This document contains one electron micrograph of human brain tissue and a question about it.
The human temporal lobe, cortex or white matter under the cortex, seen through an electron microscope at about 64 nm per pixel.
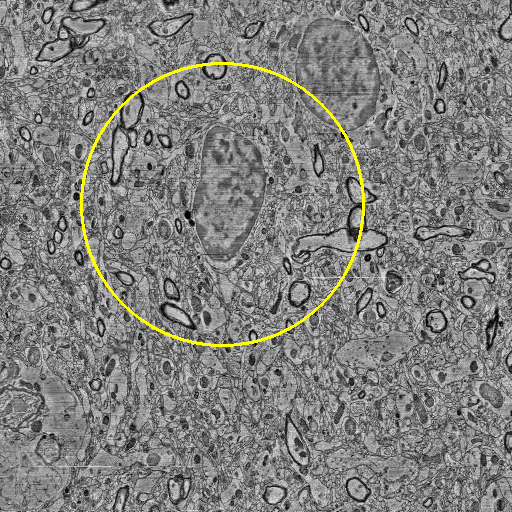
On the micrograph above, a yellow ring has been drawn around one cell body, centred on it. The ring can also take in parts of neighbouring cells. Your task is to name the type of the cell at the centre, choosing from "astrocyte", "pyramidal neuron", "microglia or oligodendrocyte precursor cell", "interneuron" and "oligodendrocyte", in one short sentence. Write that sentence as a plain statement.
Here the ring is centred on a microglial cell or oligodendrocyte precursor cell.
